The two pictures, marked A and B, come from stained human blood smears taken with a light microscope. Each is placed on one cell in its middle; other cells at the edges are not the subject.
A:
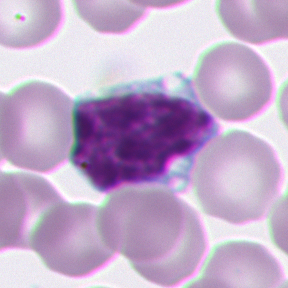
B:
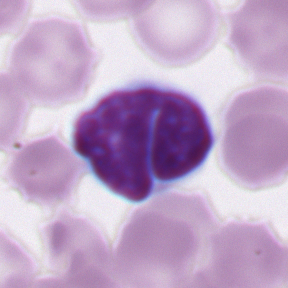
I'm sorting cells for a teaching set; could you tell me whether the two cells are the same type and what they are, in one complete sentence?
Yes, both crops show lymphocytes, the one and the other.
